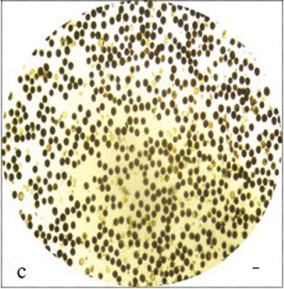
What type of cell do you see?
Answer: Pollen grains.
